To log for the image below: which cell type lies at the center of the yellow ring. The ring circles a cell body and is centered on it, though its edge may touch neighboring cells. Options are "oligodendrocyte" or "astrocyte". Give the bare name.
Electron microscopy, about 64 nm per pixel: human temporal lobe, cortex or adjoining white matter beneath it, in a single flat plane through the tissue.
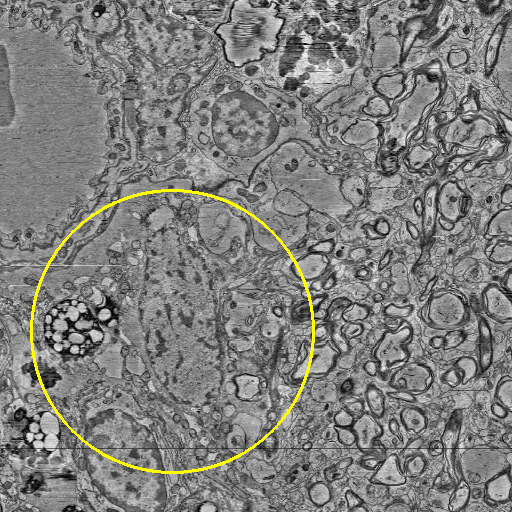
astrocyte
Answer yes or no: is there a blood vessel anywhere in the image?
Yes, a vessel shows somewhere in the image.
